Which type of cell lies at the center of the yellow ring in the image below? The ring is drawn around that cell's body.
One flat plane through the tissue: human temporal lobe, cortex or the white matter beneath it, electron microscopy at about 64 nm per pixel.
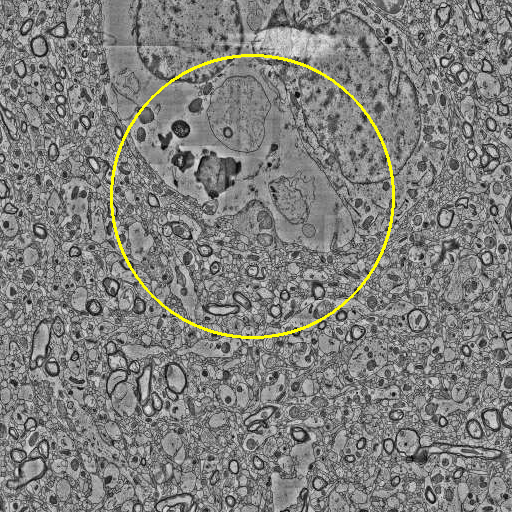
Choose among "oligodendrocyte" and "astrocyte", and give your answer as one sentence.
The cell body at the center belongs to an oligodendrocyte.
